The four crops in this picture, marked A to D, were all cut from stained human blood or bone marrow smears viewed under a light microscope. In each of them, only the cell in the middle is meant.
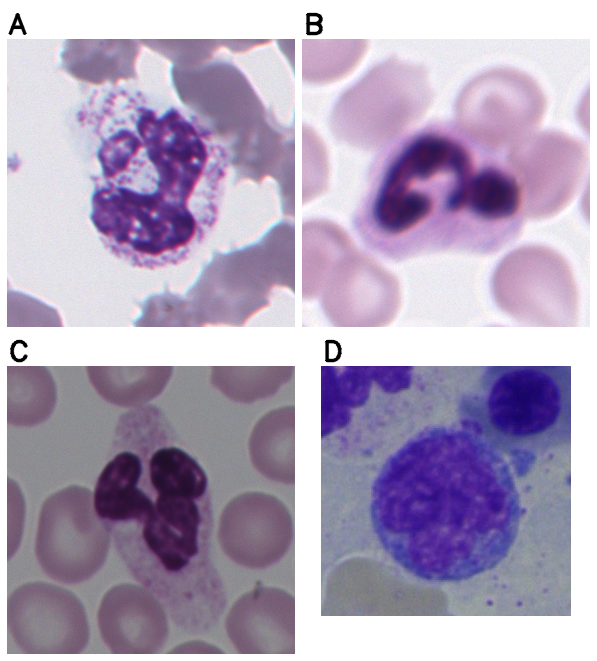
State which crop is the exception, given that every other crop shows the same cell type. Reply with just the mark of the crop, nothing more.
D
